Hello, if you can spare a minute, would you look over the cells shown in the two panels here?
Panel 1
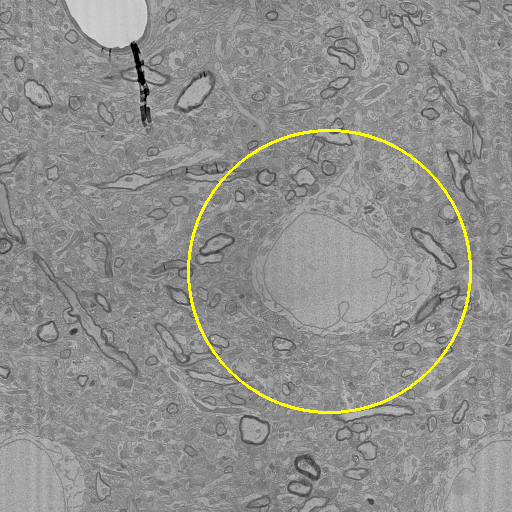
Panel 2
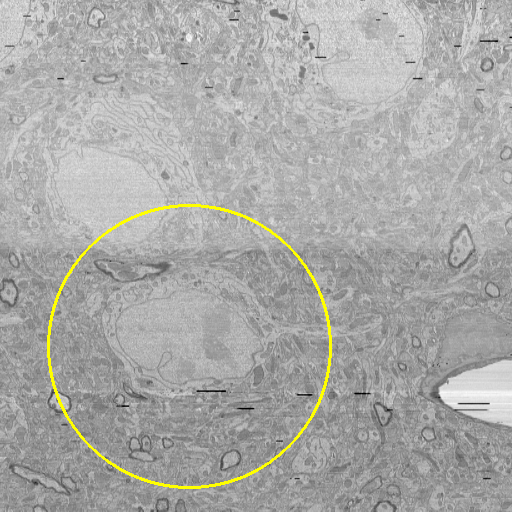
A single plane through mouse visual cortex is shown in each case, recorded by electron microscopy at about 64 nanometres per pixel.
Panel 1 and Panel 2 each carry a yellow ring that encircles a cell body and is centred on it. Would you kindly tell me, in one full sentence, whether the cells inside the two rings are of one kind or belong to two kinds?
The cells at the centres of the rings in Panel 1 and Panel 2 are of one kind.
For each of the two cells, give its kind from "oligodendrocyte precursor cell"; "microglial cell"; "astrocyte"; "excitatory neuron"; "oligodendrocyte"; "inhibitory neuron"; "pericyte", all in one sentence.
Each cell, in the first picture and the second, is an excitatory neuron.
